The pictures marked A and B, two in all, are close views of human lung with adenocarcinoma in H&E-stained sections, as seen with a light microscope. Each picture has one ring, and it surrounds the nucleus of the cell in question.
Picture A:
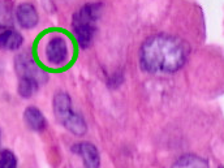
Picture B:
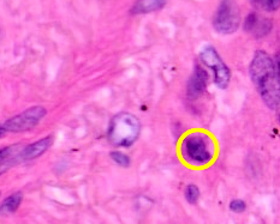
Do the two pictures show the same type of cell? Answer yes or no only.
no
